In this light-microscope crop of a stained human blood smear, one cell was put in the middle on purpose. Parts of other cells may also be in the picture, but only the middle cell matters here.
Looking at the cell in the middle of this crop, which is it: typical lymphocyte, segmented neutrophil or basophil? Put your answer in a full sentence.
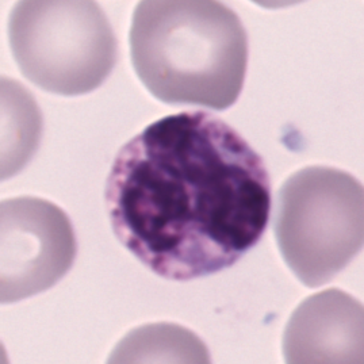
As for the cell in the middle, it is a basophil.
